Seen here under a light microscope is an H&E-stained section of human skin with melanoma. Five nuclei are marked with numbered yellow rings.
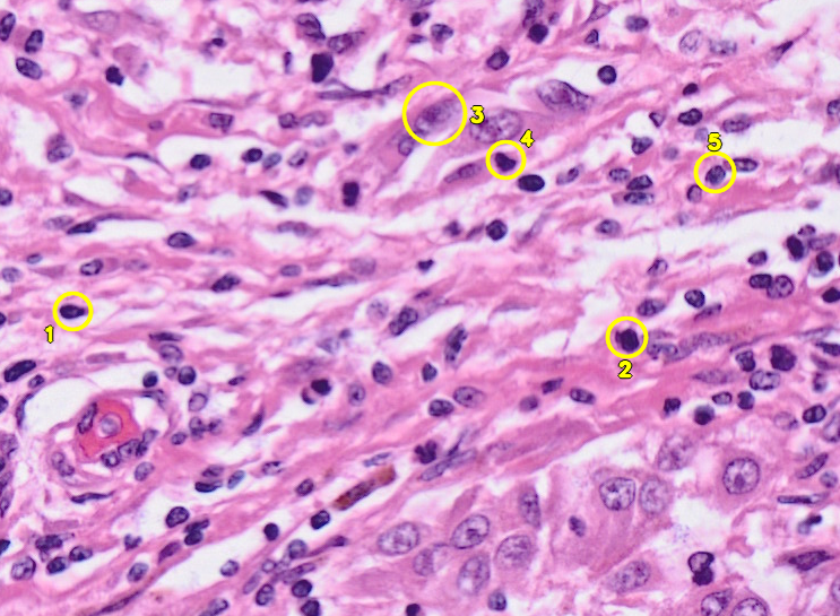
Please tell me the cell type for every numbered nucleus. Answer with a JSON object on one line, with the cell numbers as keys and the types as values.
{"1": "plasma cell", "2": "lymphocyte", "3": "melanoma cell", "4": "lymphocyte", "5": "lymphocyte"}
